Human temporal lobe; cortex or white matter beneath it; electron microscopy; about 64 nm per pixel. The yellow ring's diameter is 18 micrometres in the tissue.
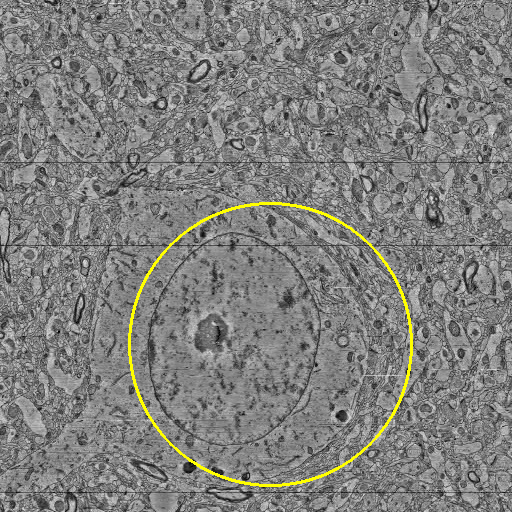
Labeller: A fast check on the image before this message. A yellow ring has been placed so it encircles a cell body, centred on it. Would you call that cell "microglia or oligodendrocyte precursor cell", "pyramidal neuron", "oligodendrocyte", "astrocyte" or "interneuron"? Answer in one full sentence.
In this image, a pyramidal neuron is the cell on which the yellow ring is centred.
